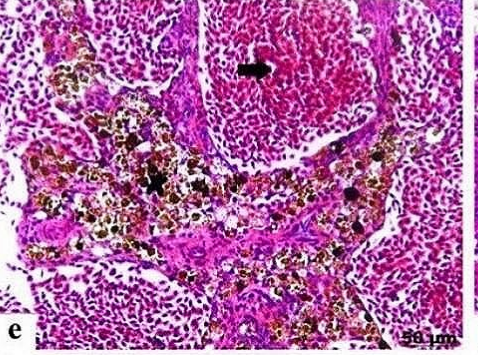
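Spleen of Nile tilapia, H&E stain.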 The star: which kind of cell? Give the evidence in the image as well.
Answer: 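A broad aggregate of rounded cells packed with golden-brown to black pigment. The aggregate lies between nodules of densely packed cells.
Conclusion: melanomacrophages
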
